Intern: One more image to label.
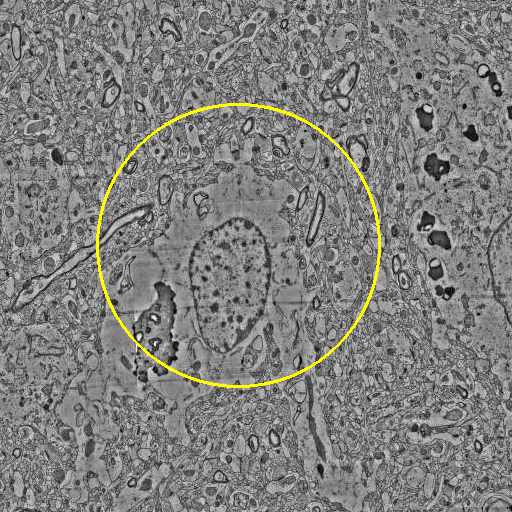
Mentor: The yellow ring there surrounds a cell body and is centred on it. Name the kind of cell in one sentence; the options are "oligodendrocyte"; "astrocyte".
The ring marks the cell body of an astrocyte.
